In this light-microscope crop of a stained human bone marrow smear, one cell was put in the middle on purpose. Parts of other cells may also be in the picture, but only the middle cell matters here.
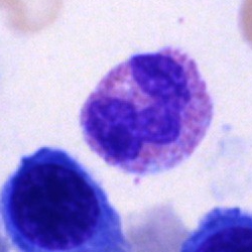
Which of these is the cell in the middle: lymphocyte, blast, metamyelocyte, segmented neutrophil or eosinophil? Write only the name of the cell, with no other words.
eosinophil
